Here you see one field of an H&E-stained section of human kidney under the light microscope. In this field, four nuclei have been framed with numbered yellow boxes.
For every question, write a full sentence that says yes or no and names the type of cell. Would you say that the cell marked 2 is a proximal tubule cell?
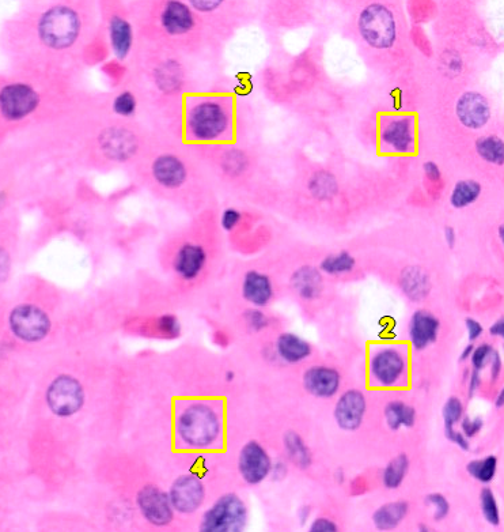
No, cell 2 is not a proximal tubule cell; a loop of Henle or distal tubule cell is the correct identification.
